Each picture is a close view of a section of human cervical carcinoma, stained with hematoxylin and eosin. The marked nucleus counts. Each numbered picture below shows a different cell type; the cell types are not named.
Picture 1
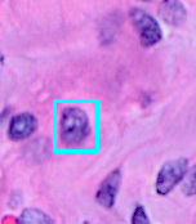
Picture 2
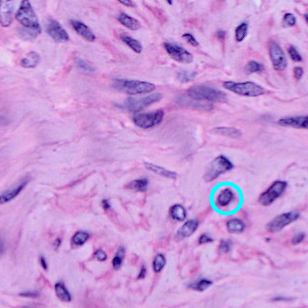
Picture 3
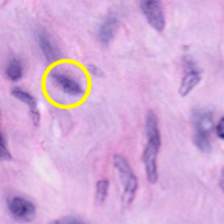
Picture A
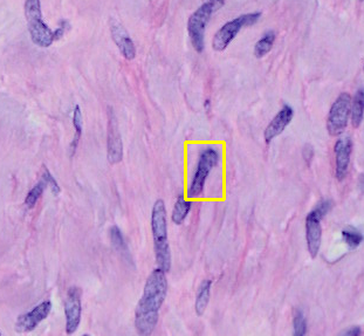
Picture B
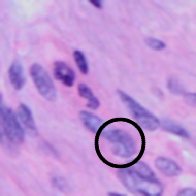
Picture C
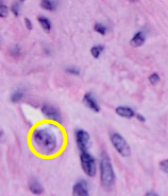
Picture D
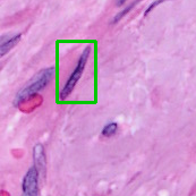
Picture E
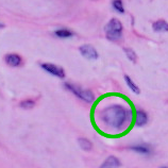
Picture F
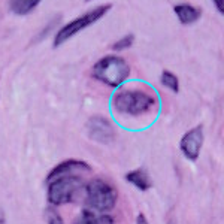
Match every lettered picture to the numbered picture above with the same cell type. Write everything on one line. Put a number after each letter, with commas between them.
A 3, B 1, C 1, D 1, E 1, F 1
